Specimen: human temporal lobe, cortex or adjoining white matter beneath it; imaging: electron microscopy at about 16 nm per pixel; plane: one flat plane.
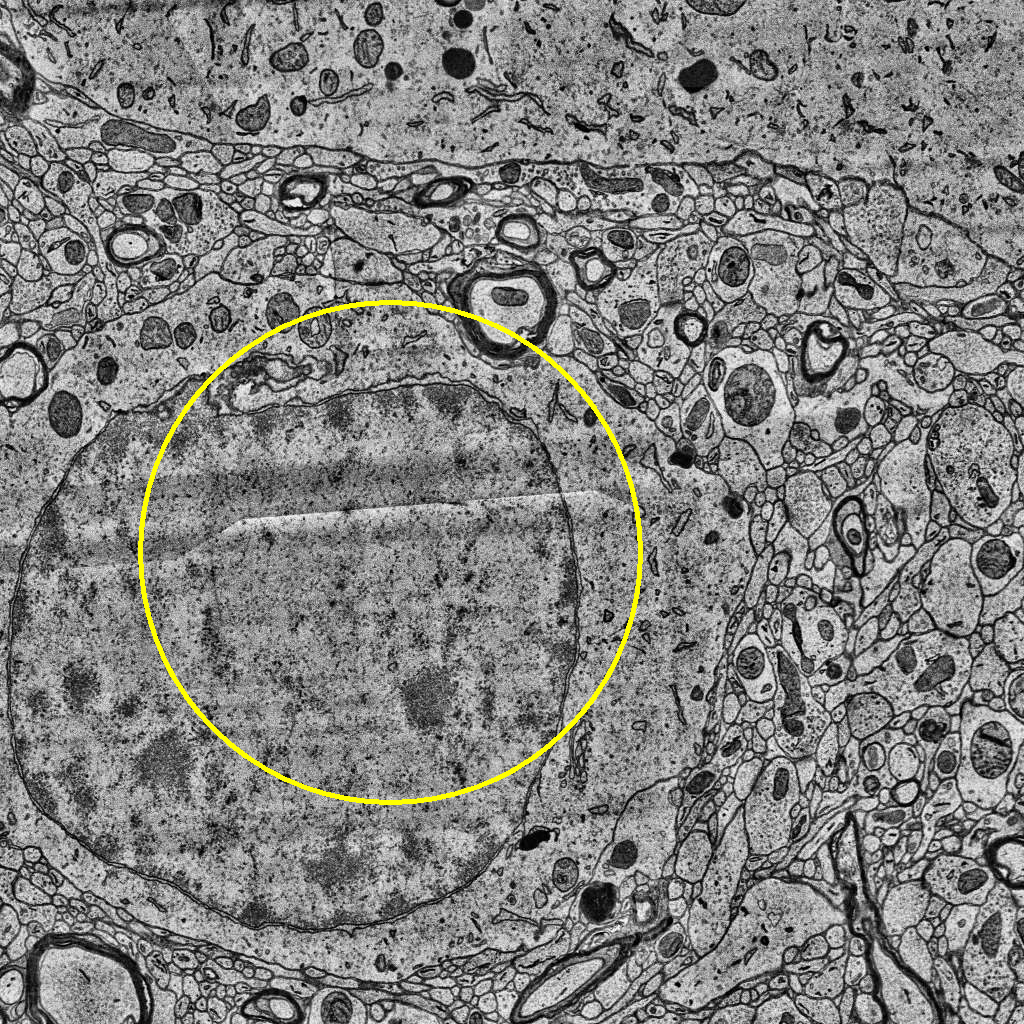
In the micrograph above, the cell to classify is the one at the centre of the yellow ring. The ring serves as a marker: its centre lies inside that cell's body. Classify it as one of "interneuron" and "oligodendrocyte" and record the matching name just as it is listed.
interneuron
